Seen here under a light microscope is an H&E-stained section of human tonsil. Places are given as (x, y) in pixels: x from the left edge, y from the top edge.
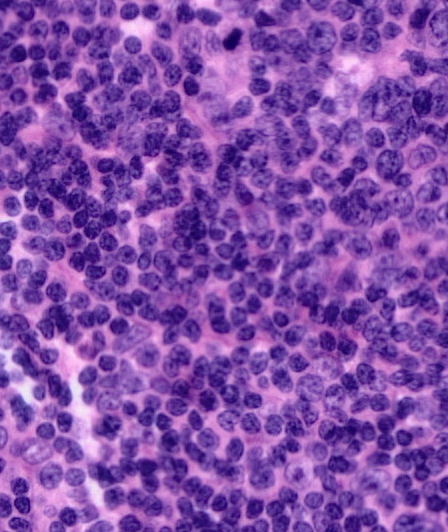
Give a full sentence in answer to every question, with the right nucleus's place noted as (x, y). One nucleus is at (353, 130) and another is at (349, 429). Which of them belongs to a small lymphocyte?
The nucleus that belongs to a small lymphocyte sits at (349, 429).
